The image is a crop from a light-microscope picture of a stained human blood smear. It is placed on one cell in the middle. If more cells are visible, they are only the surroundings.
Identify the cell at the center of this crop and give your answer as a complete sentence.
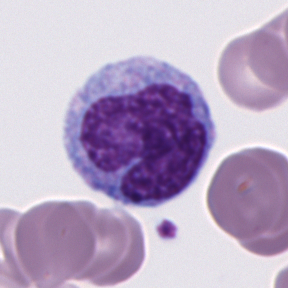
For this crop, the central cell is a monocyte.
